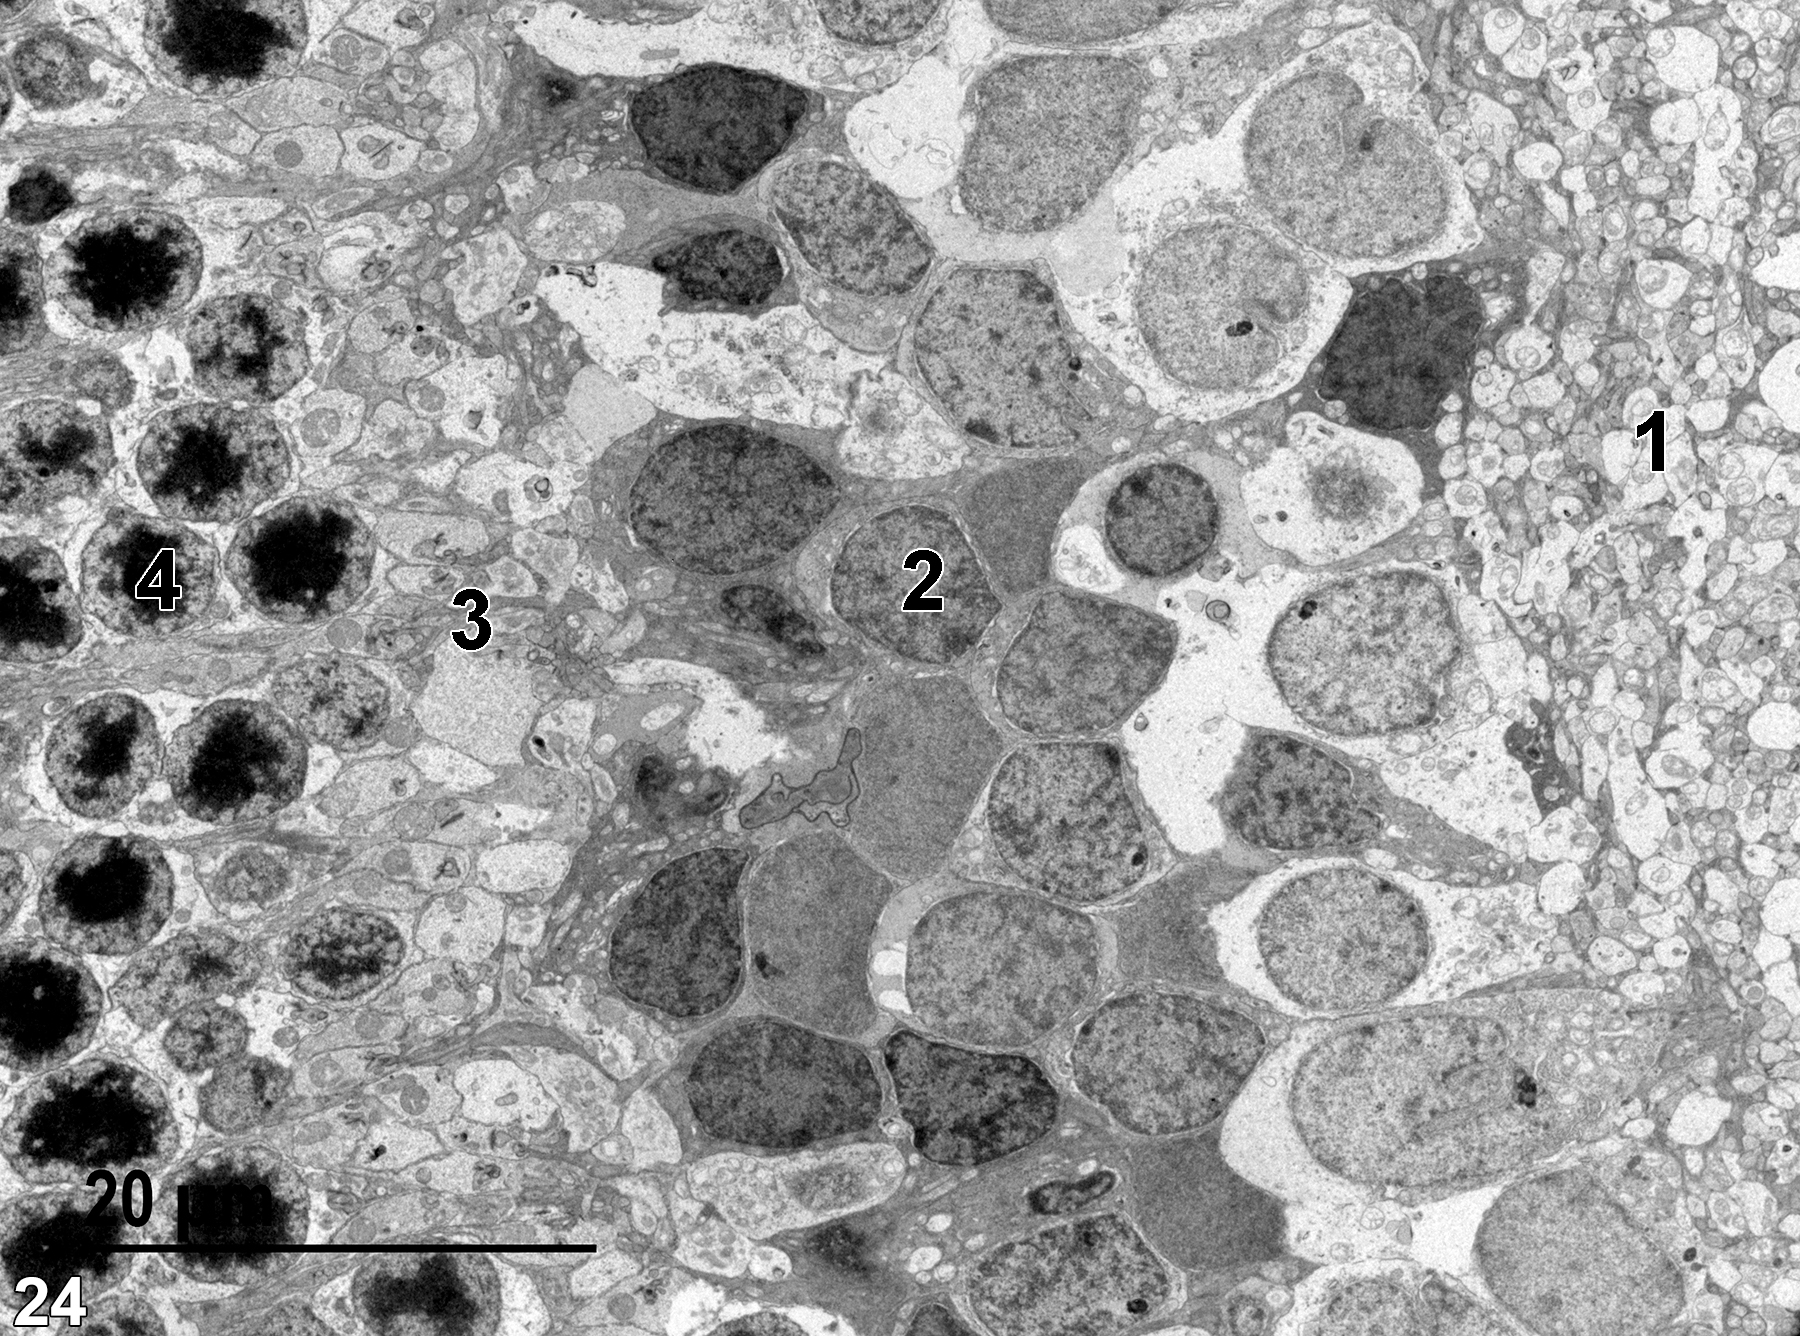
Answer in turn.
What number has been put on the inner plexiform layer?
The inner plexiform layer: 1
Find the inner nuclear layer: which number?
It's 2.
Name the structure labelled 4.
Outer nuclear layer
